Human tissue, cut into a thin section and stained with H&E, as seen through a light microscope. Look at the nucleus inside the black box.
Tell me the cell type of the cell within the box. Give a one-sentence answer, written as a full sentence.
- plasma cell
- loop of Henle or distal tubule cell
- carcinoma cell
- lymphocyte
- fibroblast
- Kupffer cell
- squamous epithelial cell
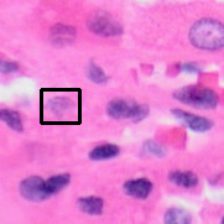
It is as a loop of Henle or distal tubule cell that the cell within the box is classified.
